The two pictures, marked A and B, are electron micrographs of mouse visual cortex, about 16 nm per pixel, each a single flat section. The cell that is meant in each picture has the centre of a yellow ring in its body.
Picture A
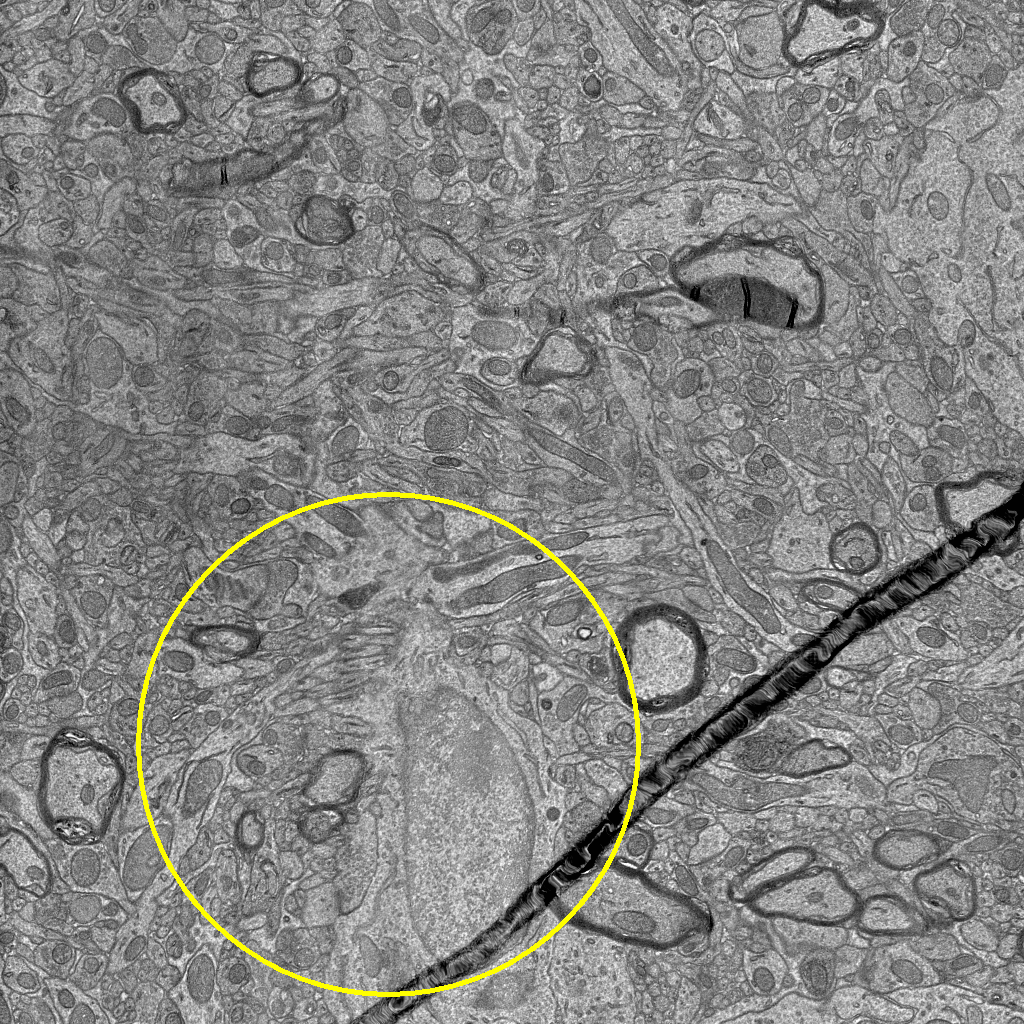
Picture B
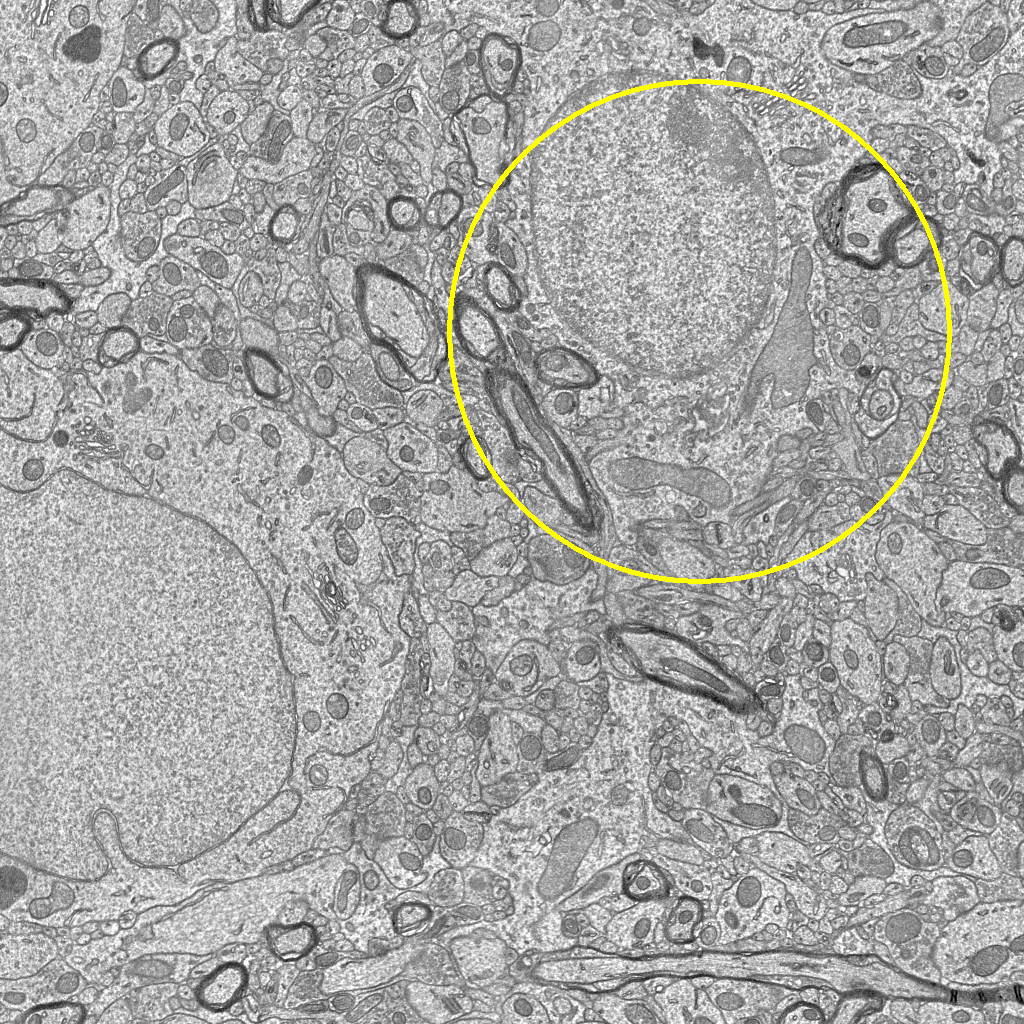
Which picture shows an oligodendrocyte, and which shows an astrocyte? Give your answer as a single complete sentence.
Picture A is of an oligodendrocyte, and picture B is of an astrocyte.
